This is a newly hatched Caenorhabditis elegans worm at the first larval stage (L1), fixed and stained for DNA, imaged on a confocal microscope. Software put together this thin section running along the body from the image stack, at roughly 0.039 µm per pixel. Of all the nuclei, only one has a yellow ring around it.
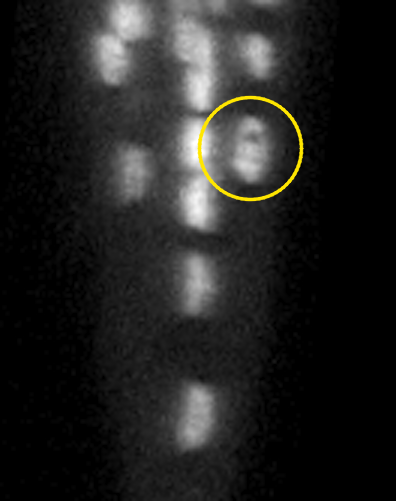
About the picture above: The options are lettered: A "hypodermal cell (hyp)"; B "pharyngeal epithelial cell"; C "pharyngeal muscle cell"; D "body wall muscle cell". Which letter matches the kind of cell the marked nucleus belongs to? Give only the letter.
D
